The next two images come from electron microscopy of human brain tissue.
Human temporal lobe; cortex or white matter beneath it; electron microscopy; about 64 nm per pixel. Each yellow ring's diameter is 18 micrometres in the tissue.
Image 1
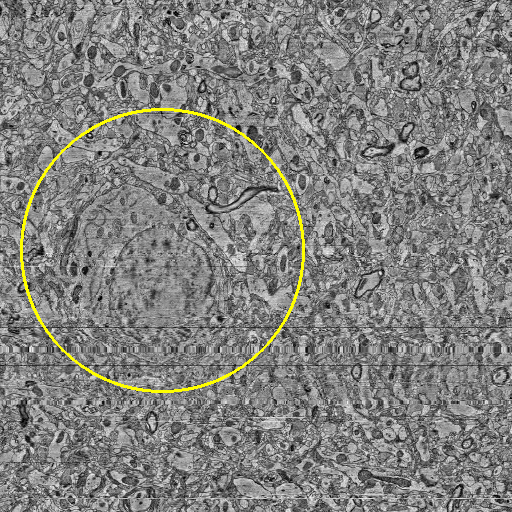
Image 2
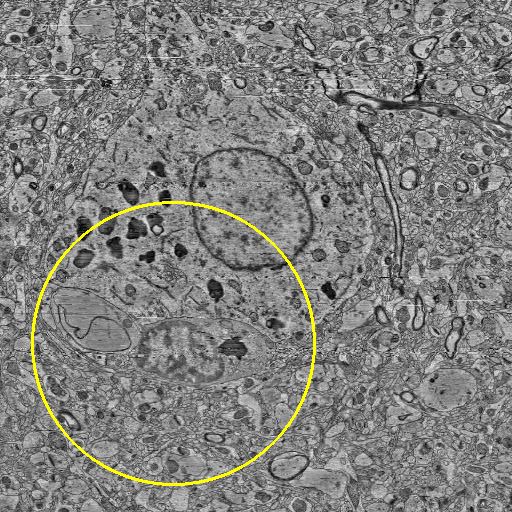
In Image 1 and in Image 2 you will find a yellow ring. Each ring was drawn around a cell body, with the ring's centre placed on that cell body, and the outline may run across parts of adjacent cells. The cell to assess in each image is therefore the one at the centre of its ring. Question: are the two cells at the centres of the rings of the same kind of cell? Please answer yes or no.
no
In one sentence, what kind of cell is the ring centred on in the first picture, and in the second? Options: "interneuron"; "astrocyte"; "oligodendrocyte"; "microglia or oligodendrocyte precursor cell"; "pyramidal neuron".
The cell at the centre of the second ring is an oligodendrocyte; the first ring's cell is an interneuron.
